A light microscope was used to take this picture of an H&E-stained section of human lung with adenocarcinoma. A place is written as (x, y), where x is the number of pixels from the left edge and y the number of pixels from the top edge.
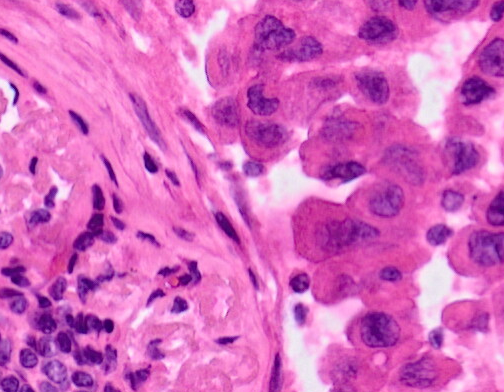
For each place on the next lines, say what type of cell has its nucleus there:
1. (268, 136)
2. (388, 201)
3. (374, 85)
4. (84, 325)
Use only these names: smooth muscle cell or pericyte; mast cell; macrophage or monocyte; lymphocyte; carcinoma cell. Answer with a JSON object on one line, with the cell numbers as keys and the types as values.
{"1": "carcinoma cell", "2": "carcinoma cell", "3": "carcinoma cell", "4": "lymphocyte"}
